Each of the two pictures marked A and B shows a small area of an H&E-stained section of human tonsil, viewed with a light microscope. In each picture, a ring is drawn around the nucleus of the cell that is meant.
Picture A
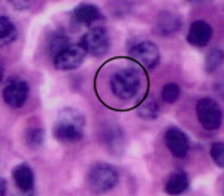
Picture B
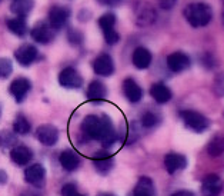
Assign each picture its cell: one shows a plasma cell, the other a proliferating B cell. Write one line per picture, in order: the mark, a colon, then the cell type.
A: plasma cell
B: proliferating B cell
